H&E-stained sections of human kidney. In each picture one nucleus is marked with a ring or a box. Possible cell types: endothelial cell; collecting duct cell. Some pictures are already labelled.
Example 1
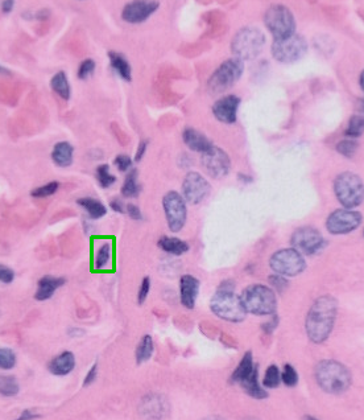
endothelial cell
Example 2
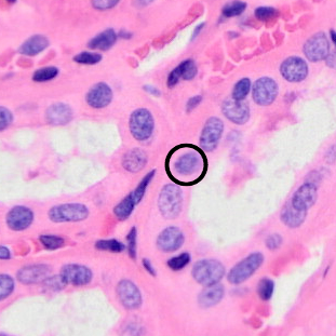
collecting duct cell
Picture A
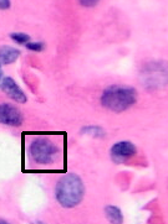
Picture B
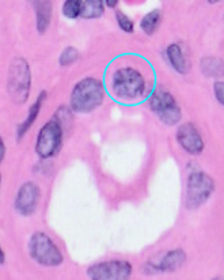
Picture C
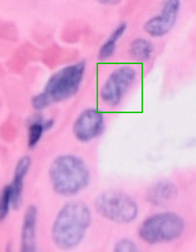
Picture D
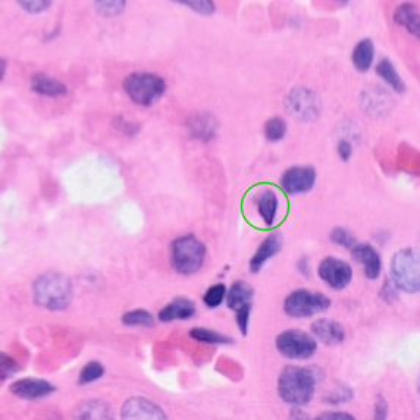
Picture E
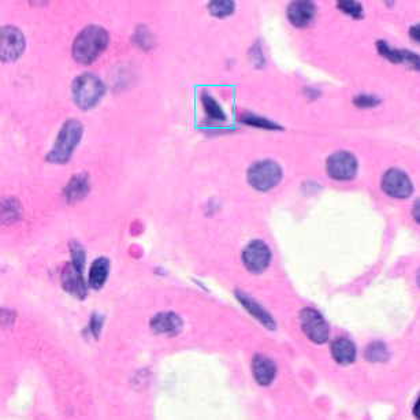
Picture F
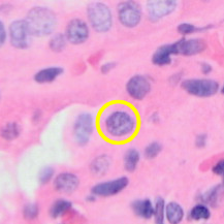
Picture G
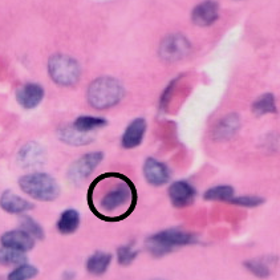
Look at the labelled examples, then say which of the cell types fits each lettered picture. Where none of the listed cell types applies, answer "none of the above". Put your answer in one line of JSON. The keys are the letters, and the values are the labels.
{"A": "none of the above", "B": "collecting duct cell", "C": "collecting duct cell", "D": "endothelial cell", "E": "endothelial cell", "F": "none of the above", "G": "endothelial cell"}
